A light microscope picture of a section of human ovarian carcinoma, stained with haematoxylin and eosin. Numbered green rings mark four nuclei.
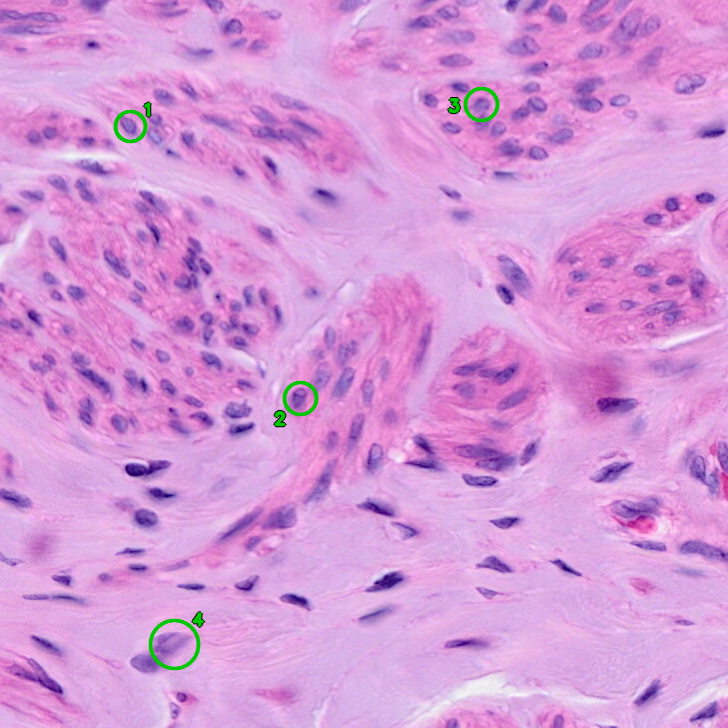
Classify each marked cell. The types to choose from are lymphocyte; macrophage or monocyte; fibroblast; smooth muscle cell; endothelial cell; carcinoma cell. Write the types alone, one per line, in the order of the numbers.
smooth muscle cell
smooth muscle cell
smooth muscle cell
fibroblast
